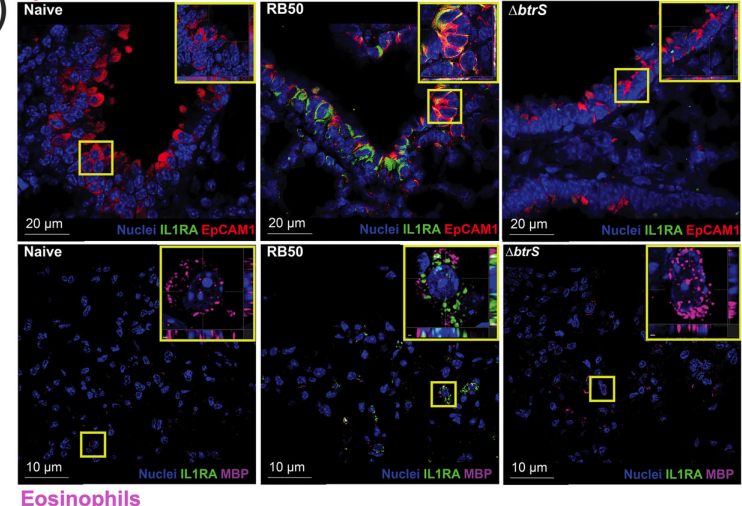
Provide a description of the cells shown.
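In the middle image of that row, green signal sits within many of the lining cells, whereas the other two show little green. The bottom row shows loosely scattered blue nuclei of lung tissue, among which a few single cells carry granular purple cytoplasm. Enlarged insets with side views show these purple cells individually, some with green granules mixed among the purple.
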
